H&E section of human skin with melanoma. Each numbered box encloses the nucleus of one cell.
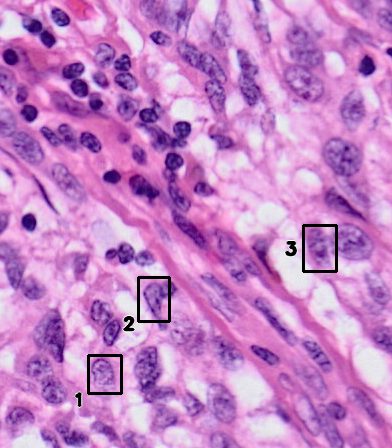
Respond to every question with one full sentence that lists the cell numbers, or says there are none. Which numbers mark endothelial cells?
Of all the numbered cells, not one is counted among the endothelial cells.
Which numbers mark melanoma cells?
The identity of cells 1 and 3: they are melanoma cells.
